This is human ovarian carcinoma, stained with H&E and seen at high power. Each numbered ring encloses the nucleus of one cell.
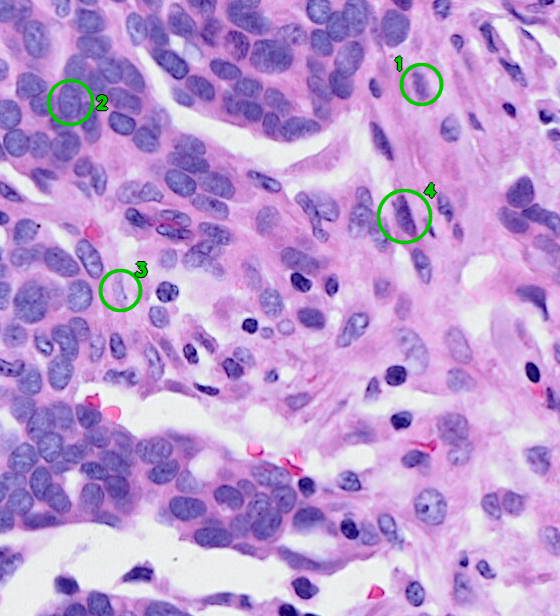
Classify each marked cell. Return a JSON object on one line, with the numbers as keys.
{"1": "fibroblast", "2": "carcinoma cell", "3": "fibroblast", "4": "fibroblast"}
